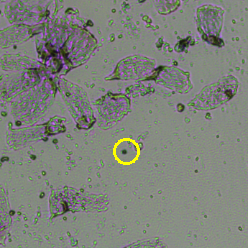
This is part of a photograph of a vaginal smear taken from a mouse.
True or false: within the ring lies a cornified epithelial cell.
False: a leukocyte lies within the ring.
